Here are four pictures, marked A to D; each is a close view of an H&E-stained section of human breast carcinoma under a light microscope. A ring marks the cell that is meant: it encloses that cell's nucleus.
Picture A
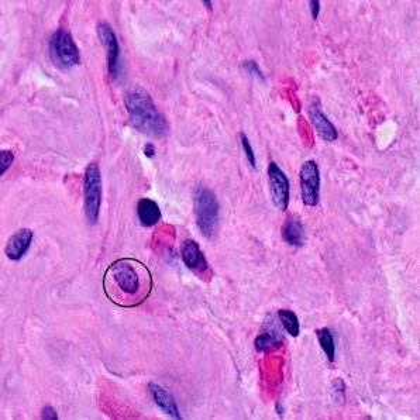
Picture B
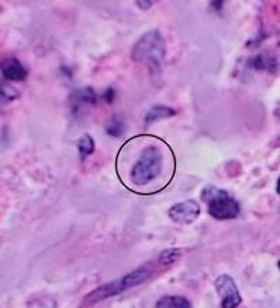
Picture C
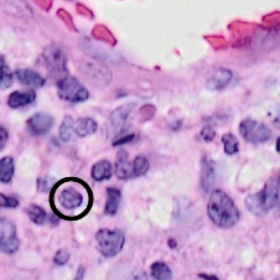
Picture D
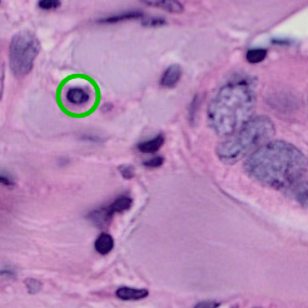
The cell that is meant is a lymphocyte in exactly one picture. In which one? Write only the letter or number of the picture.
C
